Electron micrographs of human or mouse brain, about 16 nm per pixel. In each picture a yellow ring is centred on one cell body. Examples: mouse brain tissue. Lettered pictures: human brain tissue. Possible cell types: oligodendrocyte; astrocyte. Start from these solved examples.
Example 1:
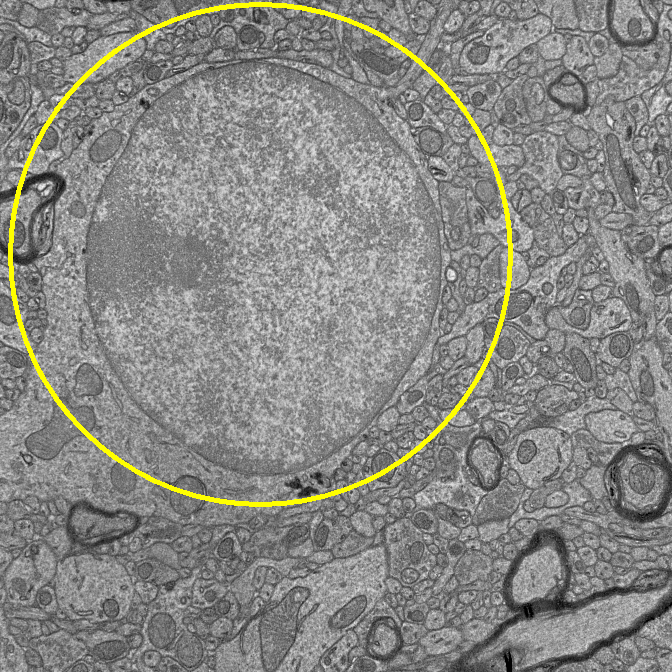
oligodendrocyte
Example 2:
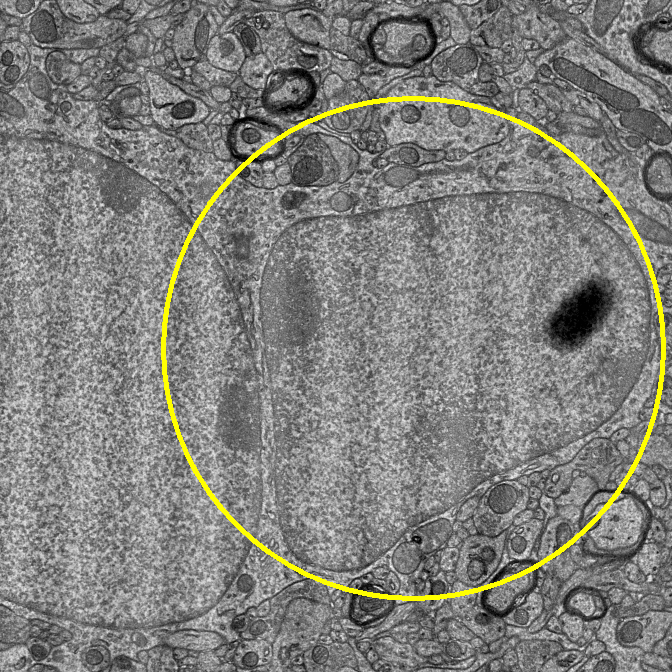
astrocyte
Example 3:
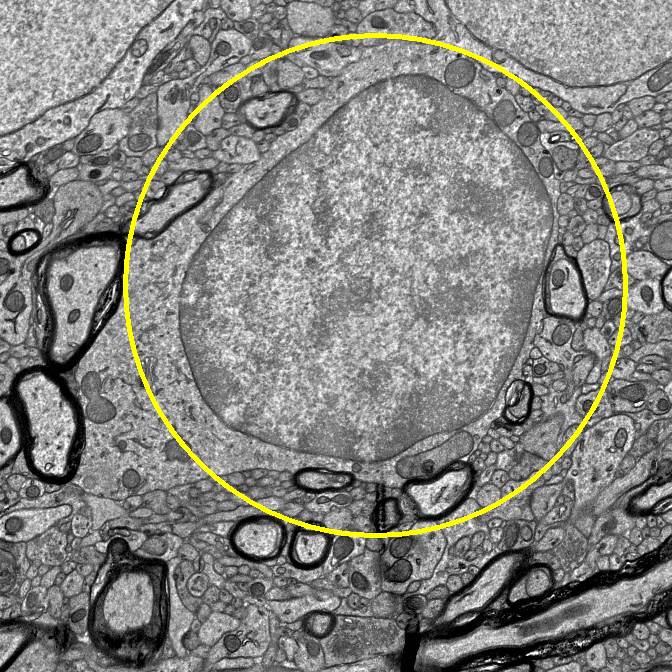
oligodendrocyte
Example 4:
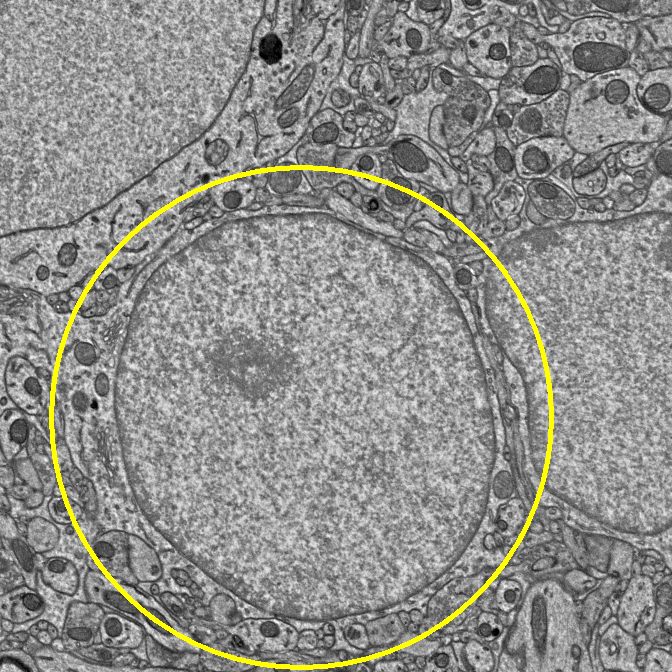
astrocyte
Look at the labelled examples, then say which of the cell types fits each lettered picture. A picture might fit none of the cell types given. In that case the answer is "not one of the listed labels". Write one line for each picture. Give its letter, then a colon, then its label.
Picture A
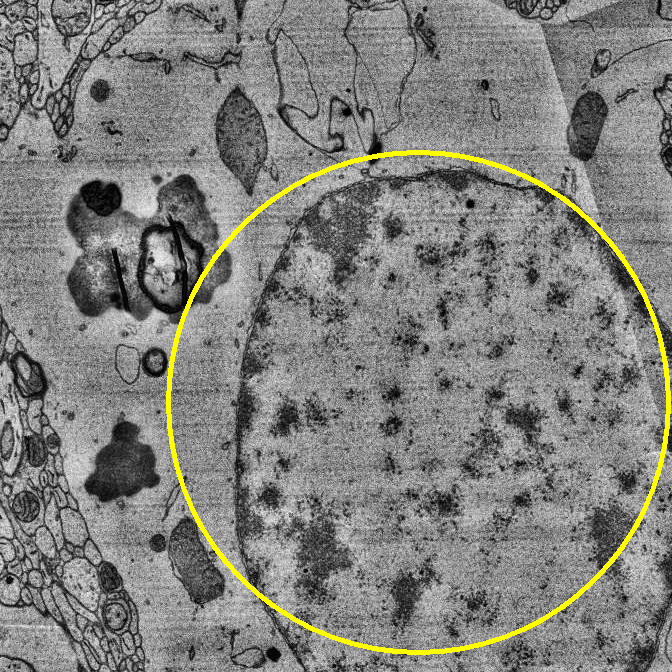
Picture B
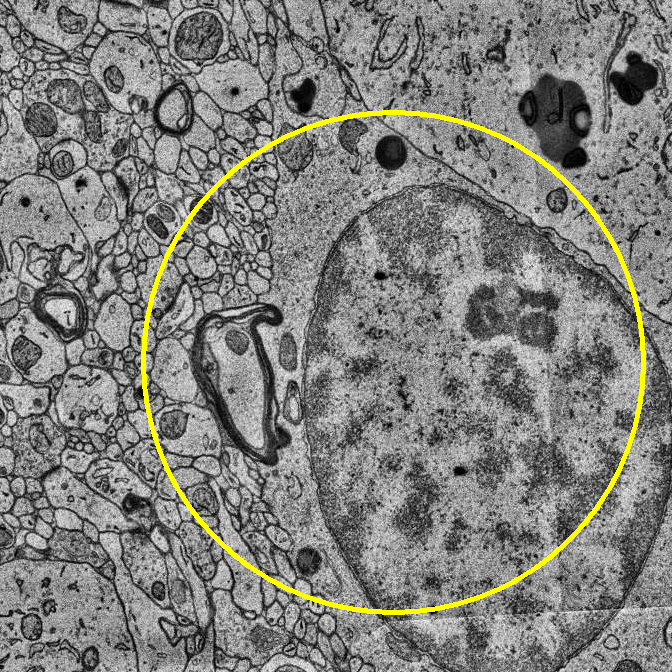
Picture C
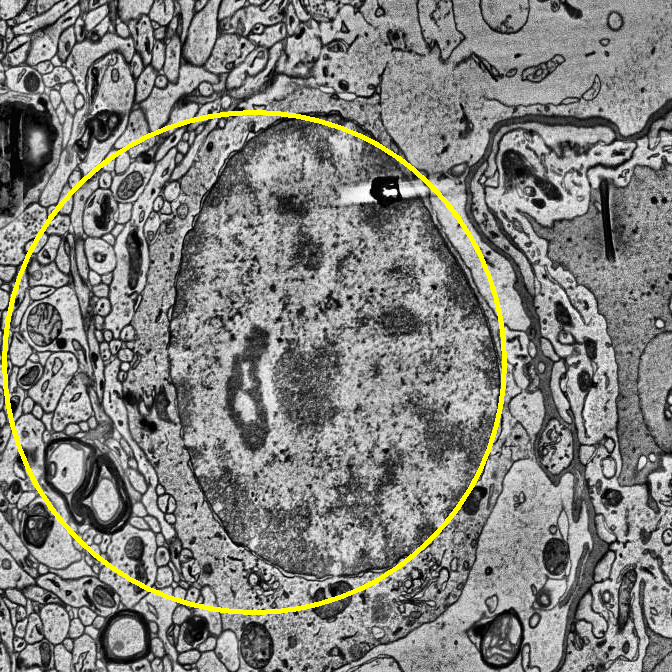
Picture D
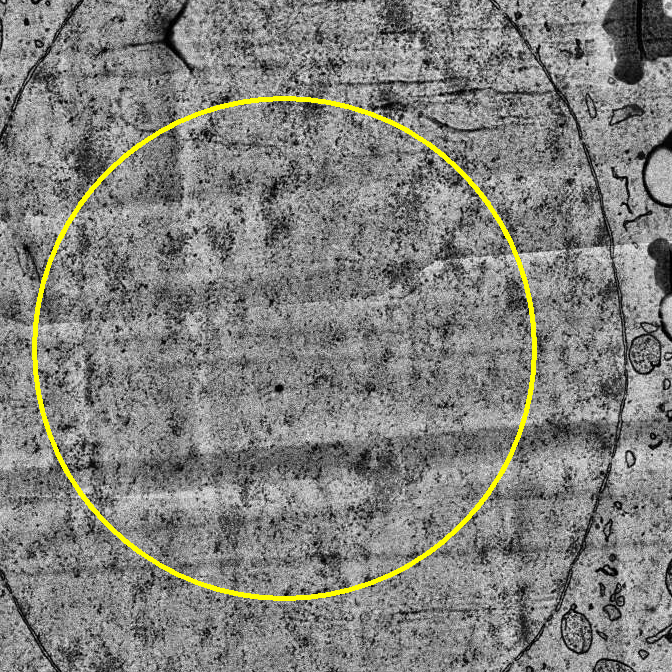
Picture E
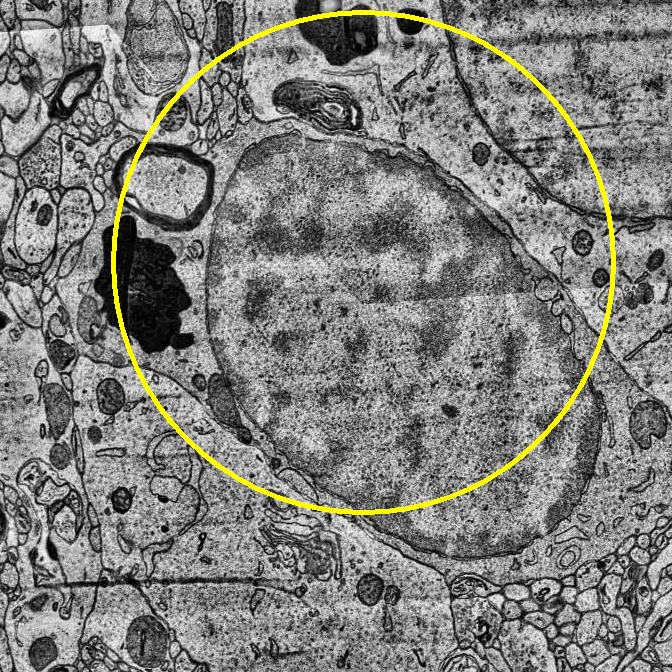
A: astrocyte
B: oligodendrocyte
C: oligodendrocyte
D: not one of the listed labels
E: oligodendrocyte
